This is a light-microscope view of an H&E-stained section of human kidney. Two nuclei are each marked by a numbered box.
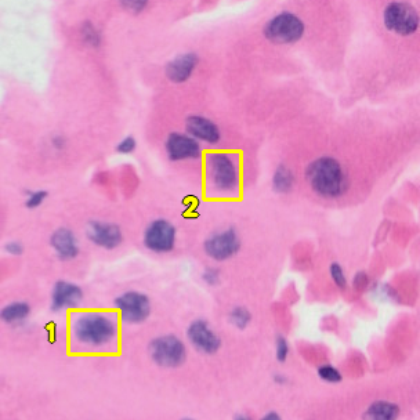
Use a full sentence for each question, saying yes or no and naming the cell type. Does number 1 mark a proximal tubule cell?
No, the cell carrying number 1 is a loop of Henle or distal tubule cell rather than a proximal tubule cell.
